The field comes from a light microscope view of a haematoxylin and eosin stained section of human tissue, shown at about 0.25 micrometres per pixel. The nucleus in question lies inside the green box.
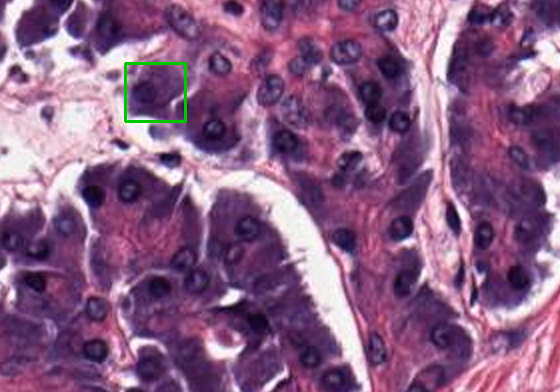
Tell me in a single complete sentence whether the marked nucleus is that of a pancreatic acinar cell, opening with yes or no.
Yes, a pancreatic acinar cell contains the marked nucleus.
